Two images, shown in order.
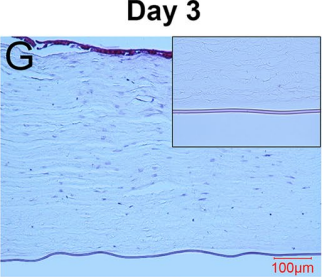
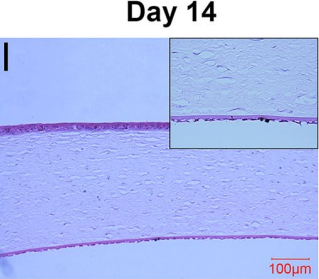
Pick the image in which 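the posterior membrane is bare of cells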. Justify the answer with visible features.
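Second image: the inset shows dark cell nuclei lining the underside of the pink posterior membrane. First image: the inset shows a smooth pink posterior membrane with no cells on it. On this evidence: the first image.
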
